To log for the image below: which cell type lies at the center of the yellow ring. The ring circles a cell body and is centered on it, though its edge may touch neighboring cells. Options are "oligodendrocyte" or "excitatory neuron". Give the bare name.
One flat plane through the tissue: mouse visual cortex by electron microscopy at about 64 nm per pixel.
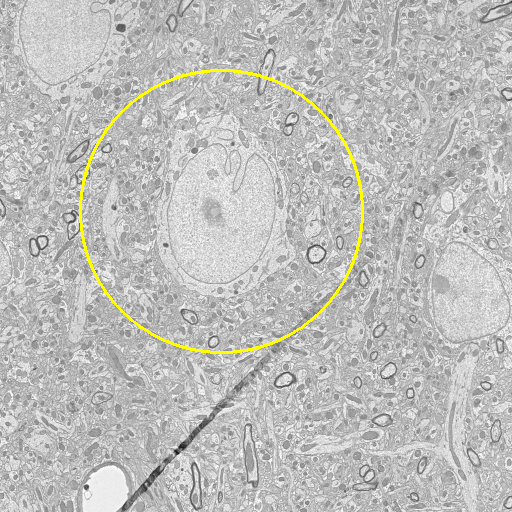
excitatory neuron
